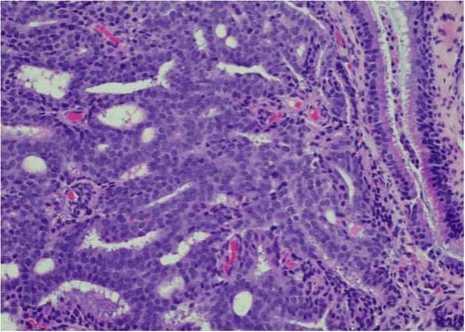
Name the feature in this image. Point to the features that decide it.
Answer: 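Solid sheets of crowded cells are perforated by many round and slit-like punched-out spaces.
Answer: cribriform sheets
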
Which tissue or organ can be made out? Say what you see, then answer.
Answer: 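A lining of tall columnar cells with a fringed luminal border runs along the right edge. Its nuclei are stacked in several rows.
Conclusion: Respiratory epithelium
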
